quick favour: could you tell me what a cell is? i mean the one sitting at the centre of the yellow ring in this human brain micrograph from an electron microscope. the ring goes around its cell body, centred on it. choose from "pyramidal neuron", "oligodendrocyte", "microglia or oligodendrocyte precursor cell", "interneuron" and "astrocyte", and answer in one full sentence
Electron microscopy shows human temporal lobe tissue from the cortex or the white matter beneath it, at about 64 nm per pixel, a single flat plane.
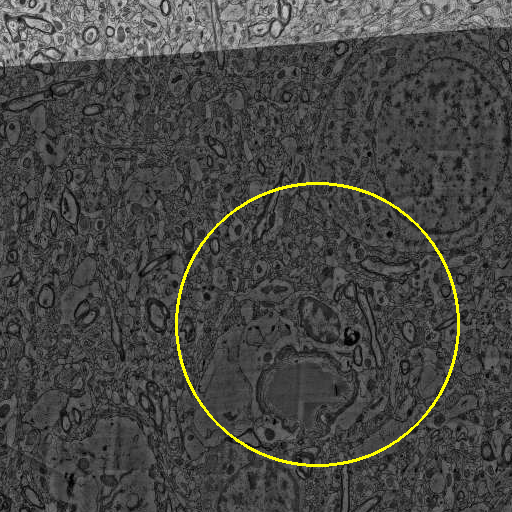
That's a microglial cell or oligodendrocyte precursor cell, the cell sitting at the centre of the yellow ring.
